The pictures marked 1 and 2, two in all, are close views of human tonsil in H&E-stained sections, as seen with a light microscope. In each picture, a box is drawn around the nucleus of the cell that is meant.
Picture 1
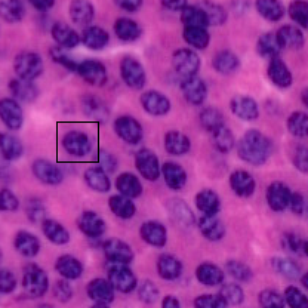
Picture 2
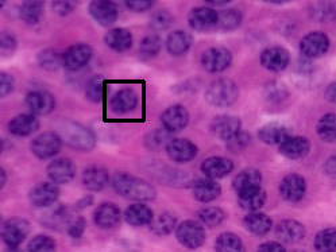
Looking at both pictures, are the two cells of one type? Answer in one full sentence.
Yes, both are plasma cells.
